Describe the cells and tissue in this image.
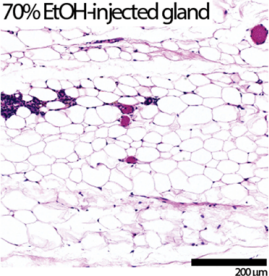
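This is mammary gland tissue made almost entirely of fat cells, with only a small remnant of epithelial structures. The fat cells are large, polygonal to rounded empty spaces separated by thin pink walls, arranged in tight sheets. Thin pink strands of connective tissue run across the field, and a few small pink vessel profiles are scattered between the fat cells. Most of the field lacks the purple epithelial islands that would normally lie among the fat.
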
